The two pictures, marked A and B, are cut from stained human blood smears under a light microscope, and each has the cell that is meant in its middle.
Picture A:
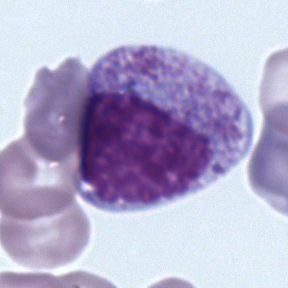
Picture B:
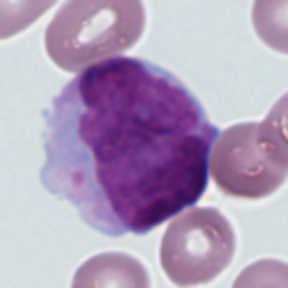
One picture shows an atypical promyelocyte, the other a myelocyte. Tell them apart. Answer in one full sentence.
In picture A the cell is a myelocyte; in picture B, an atypical promyelocyte.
